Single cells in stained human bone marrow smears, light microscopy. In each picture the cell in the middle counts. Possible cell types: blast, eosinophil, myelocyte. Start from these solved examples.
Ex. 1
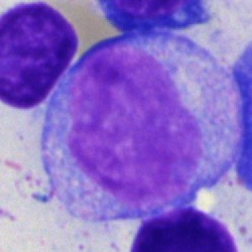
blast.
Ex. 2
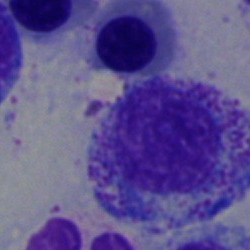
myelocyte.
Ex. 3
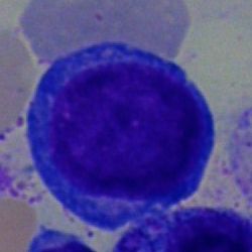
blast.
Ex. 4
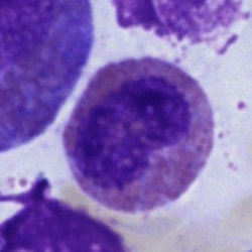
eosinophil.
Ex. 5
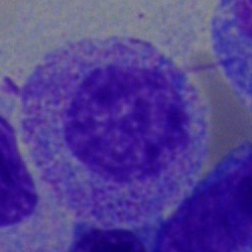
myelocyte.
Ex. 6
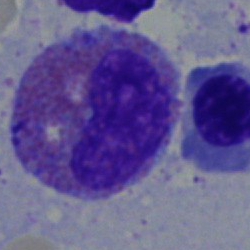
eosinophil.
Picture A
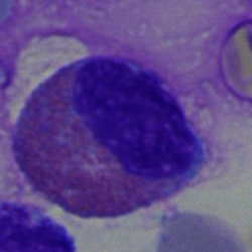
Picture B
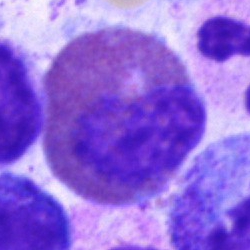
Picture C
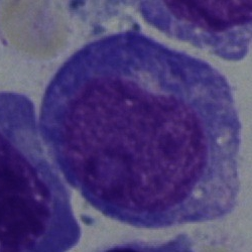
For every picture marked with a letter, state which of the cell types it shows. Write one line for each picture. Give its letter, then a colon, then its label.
A: eosinophil.
B: eosinophil.
C: blast.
